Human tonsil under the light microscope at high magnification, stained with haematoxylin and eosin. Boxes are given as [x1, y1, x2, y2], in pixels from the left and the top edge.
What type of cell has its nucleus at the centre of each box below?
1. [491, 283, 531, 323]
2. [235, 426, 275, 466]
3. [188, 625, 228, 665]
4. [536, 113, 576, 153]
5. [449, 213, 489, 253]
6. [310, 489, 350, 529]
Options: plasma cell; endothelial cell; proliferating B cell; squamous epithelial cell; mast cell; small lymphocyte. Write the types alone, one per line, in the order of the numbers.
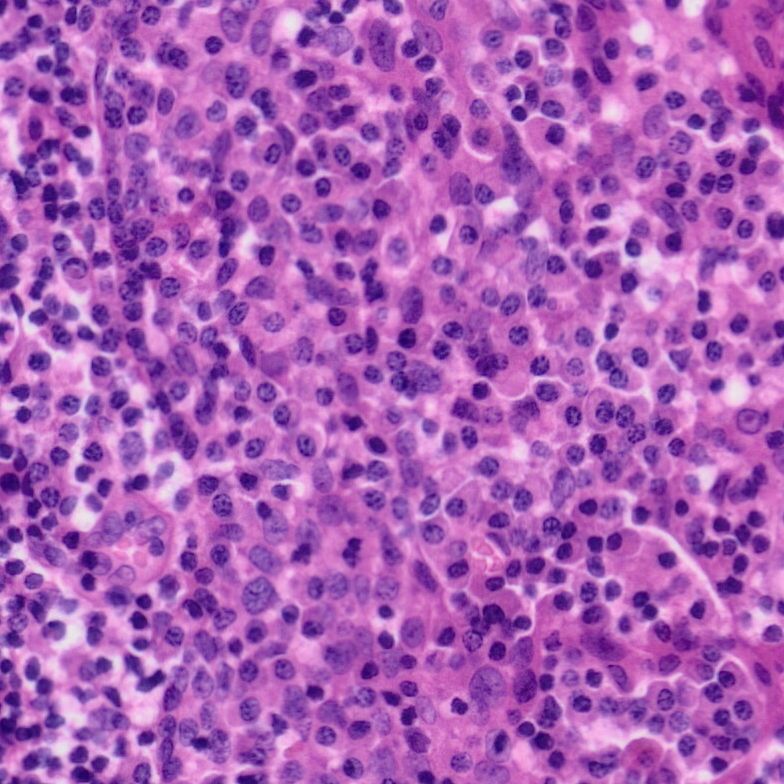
plasma cell
plasma cell
squamous epithelial cell
plasma cell
plasma cell
squamous epithelial cell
